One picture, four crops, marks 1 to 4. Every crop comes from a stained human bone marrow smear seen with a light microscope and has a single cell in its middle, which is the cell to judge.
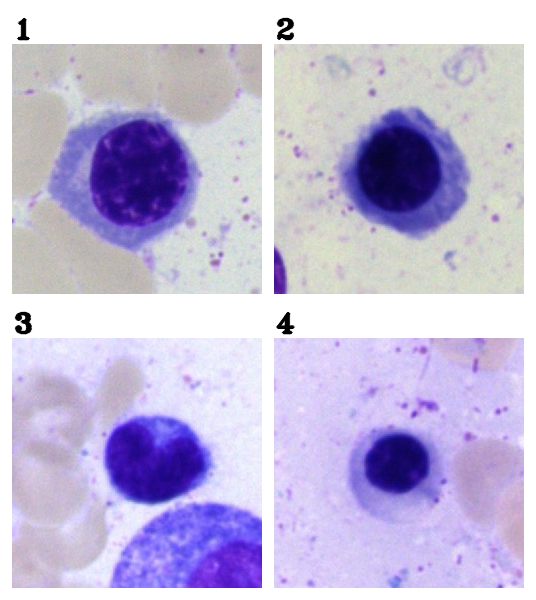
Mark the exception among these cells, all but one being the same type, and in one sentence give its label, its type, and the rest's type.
Only crop 3 differs, being a lymphocyte, while the others all show erythroblasts.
